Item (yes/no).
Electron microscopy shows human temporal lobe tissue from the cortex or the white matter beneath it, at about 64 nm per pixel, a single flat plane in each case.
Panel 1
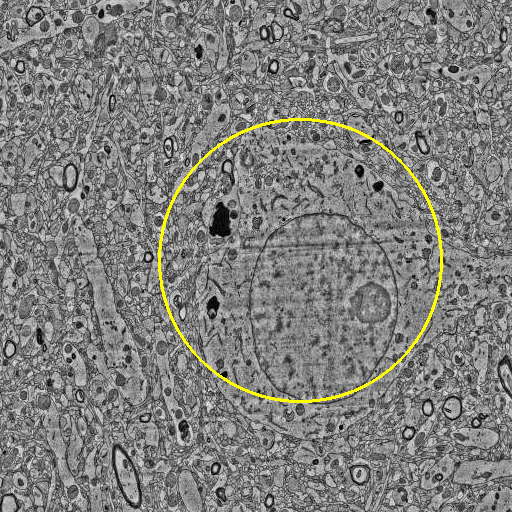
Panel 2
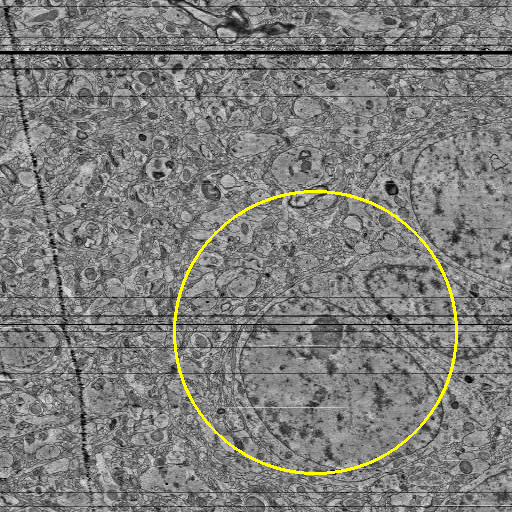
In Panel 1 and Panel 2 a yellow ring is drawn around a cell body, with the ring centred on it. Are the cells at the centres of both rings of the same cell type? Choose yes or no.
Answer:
yes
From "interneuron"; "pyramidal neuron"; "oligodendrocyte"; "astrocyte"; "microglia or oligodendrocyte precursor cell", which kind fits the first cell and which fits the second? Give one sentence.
Each of the two rings is centred on a pyramidal neuron.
